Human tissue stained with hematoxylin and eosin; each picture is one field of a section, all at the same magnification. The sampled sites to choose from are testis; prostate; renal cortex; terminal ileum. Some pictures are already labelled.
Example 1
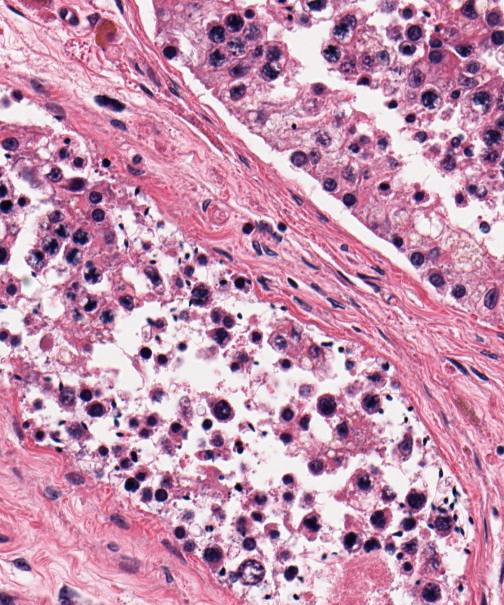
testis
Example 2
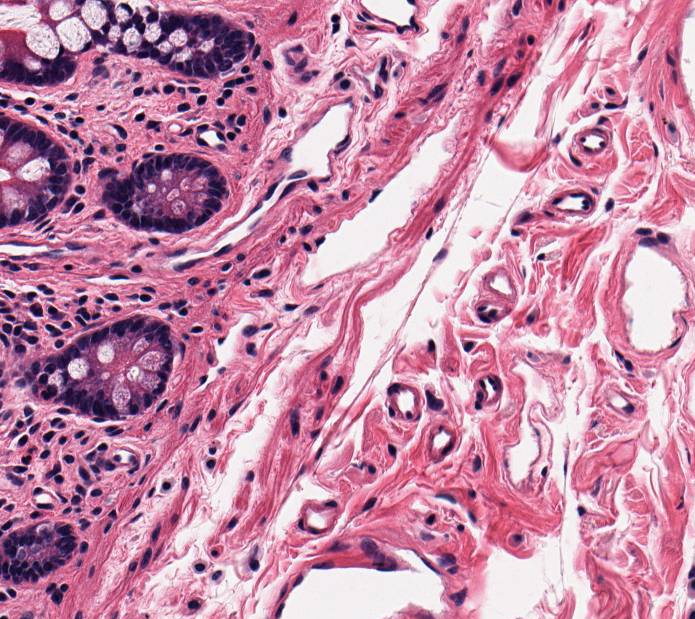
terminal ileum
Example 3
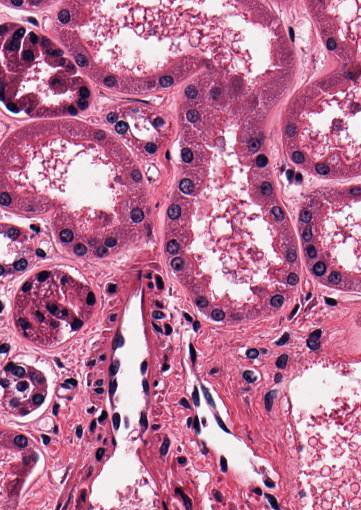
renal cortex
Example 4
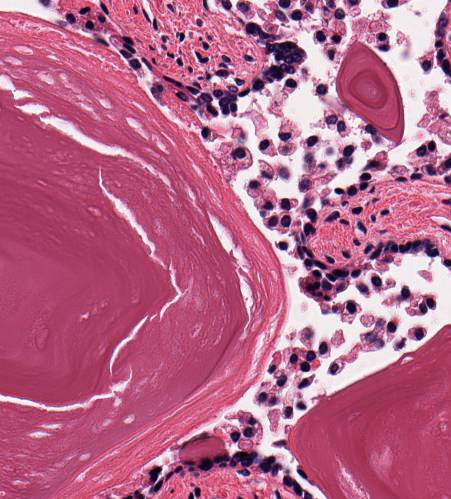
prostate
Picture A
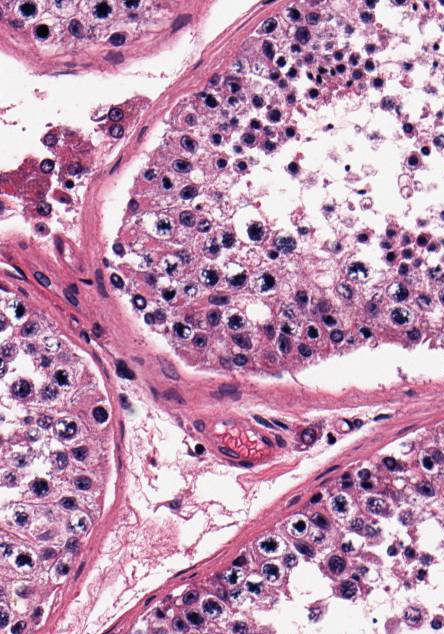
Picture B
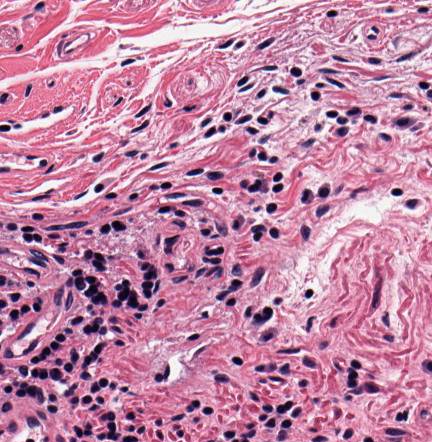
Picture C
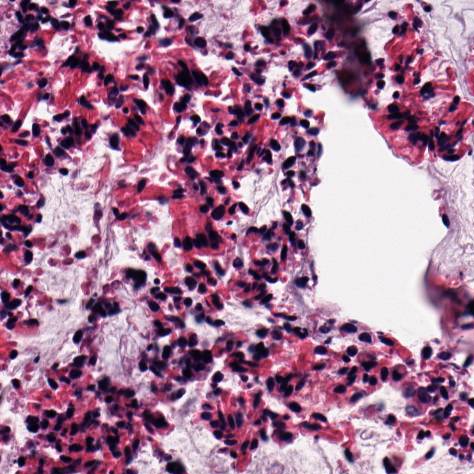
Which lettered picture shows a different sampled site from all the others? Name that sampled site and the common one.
Exception: A, showing testis. Remaining pictures: terminal ileum.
